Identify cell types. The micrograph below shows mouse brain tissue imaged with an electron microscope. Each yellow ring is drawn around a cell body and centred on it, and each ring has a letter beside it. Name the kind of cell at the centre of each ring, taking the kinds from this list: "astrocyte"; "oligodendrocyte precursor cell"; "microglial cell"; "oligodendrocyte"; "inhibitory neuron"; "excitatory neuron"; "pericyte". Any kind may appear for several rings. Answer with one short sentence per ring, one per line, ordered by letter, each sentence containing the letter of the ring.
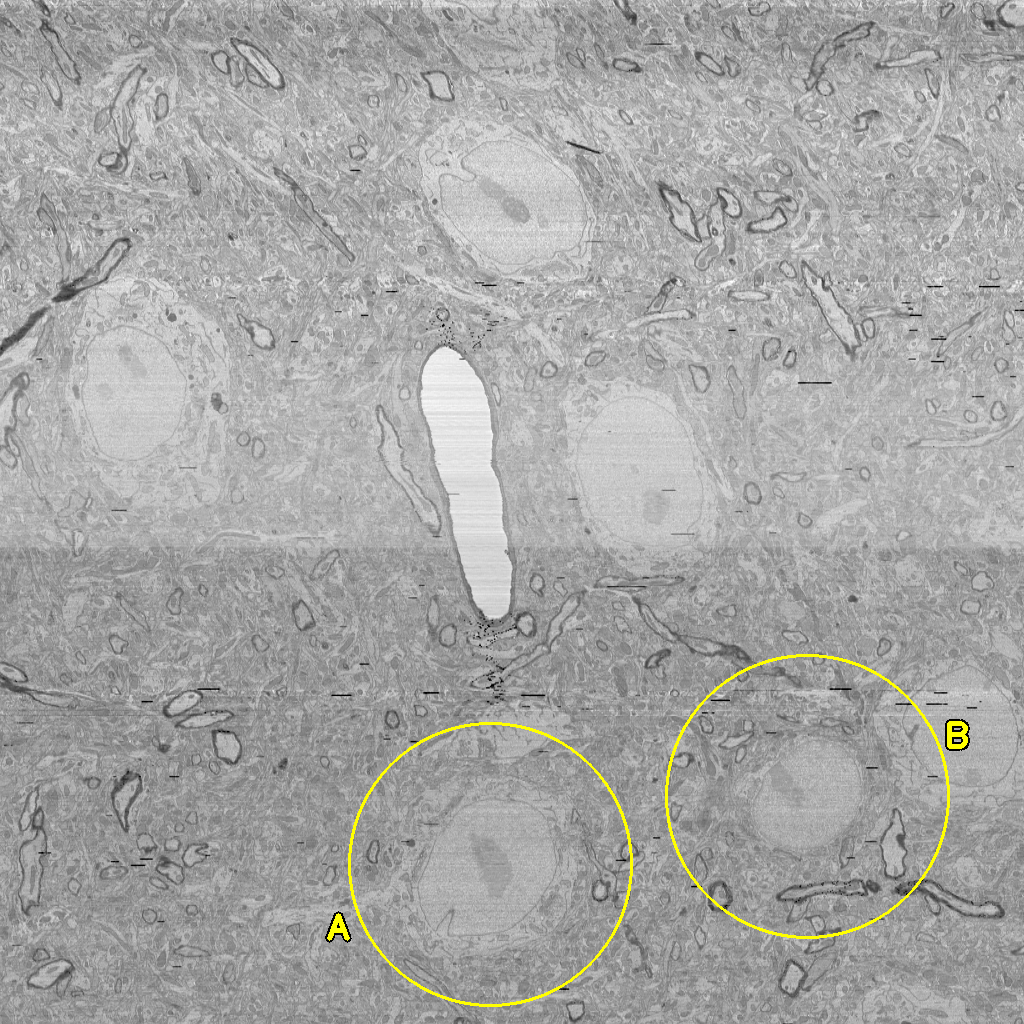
Ring A marks an excitatory neuron.
Ring B marks an astrocyte.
